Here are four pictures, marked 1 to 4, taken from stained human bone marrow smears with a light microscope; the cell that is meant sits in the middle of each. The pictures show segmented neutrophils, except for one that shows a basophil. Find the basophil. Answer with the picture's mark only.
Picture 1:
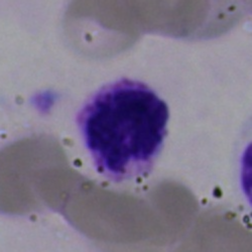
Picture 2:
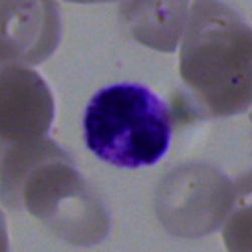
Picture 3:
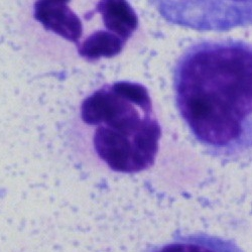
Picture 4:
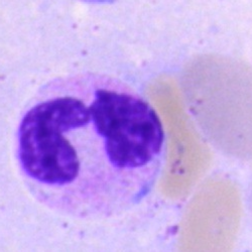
1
